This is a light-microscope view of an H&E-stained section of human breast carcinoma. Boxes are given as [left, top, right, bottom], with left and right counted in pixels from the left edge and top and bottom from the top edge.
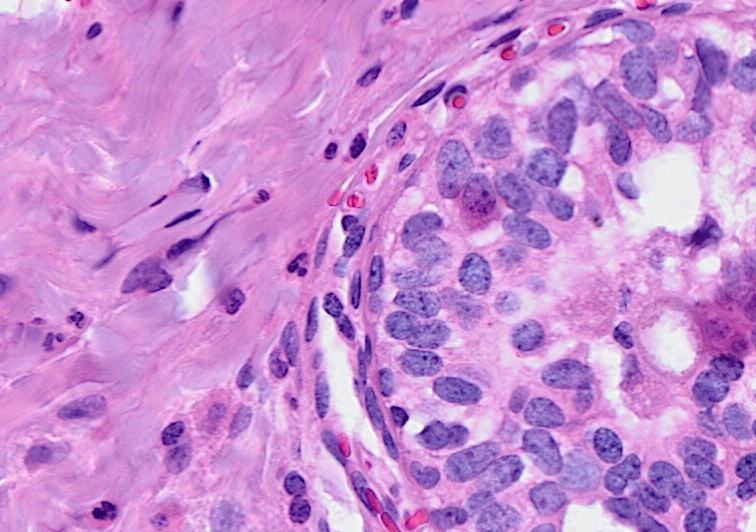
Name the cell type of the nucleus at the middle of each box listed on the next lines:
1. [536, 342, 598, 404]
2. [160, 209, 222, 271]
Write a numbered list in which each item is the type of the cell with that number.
1. carcinoma cell
2. fibroblast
